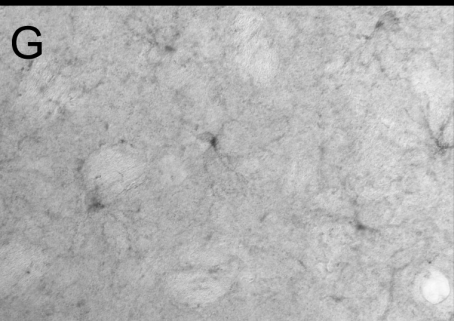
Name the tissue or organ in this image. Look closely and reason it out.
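Pale round patches of fibre bundles cut across lie scattered in the grey matter. A few sparse stellate stained cells lie between the patches.
Hence: striatum.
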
